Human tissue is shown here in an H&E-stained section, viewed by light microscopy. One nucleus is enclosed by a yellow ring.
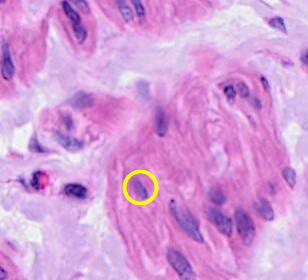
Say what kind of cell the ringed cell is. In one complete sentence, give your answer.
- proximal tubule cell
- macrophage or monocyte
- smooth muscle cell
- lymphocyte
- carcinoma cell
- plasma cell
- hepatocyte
By its classification, the ringed cell is a smooth muscle cell.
